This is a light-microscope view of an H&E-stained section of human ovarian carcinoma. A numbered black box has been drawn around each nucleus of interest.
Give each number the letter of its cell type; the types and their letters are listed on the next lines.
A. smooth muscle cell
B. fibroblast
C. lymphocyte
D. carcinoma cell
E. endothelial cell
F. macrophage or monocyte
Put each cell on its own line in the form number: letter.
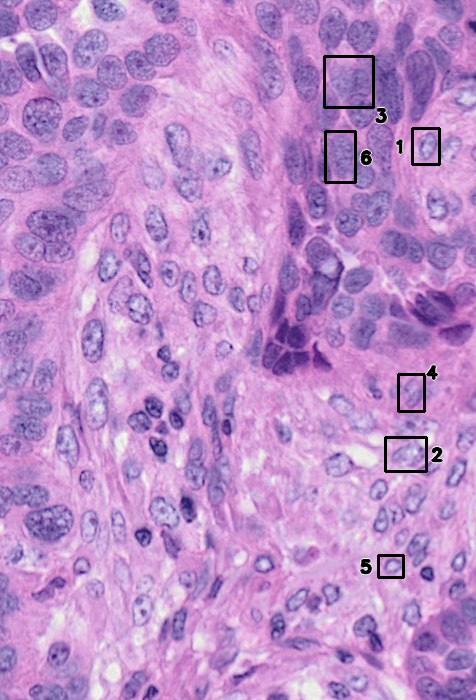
1: B
2: B
3: D
4: B
5: B
6: D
